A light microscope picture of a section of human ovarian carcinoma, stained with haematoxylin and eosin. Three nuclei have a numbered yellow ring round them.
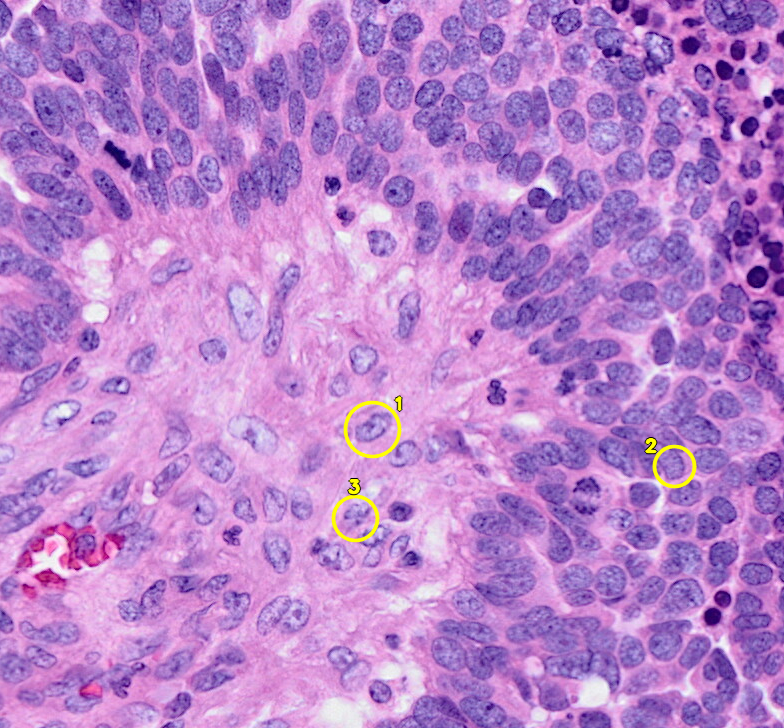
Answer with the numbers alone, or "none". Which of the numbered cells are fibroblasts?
1, 3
